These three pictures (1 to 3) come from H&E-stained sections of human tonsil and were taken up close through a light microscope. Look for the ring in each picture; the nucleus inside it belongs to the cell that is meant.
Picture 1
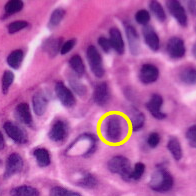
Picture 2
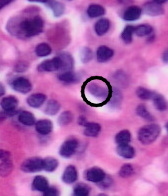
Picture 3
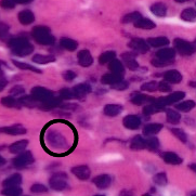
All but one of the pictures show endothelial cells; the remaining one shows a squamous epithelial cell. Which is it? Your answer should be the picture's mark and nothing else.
1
